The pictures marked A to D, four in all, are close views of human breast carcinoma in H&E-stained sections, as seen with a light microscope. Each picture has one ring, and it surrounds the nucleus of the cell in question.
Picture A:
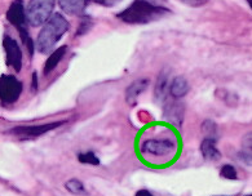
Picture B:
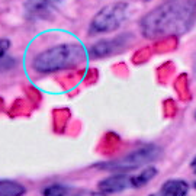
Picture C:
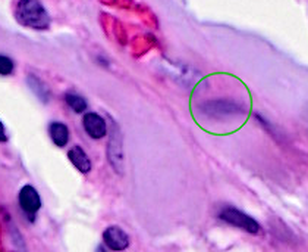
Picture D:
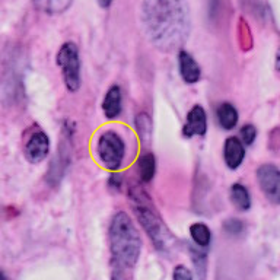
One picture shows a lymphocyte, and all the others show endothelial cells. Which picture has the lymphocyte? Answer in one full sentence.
The lymphocyte is the one in picture D.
